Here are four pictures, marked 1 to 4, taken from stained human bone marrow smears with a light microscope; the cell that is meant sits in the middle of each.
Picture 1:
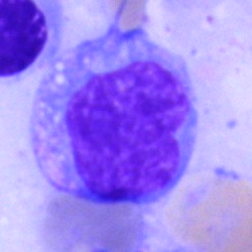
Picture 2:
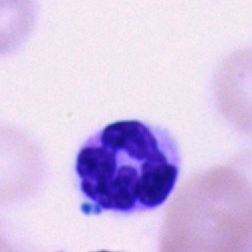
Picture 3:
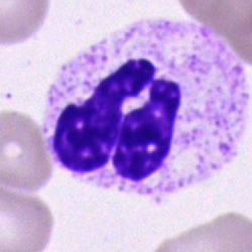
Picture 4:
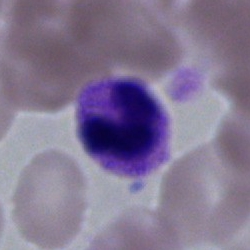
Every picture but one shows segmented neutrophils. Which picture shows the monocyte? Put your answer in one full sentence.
Picture 1 shows the monocyte.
